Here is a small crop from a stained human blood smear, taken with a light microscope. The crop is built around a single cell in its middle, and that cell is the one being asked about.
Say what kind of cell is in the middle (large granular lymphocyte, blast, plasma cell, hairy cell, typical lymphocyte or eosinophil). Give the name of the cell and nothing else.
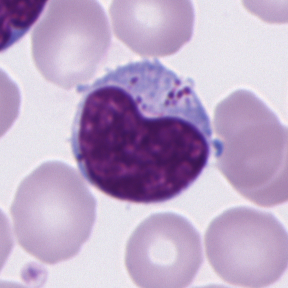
large granular lymphocyte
